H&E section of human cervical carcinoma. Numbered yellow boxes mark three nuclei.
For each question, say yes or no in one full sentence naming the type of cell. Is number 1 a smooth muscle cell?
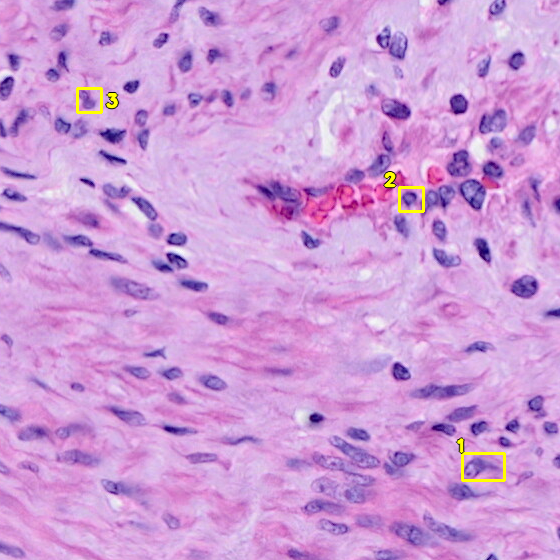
Yes, the cell shown as number 1 is a smooth muscle cell.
